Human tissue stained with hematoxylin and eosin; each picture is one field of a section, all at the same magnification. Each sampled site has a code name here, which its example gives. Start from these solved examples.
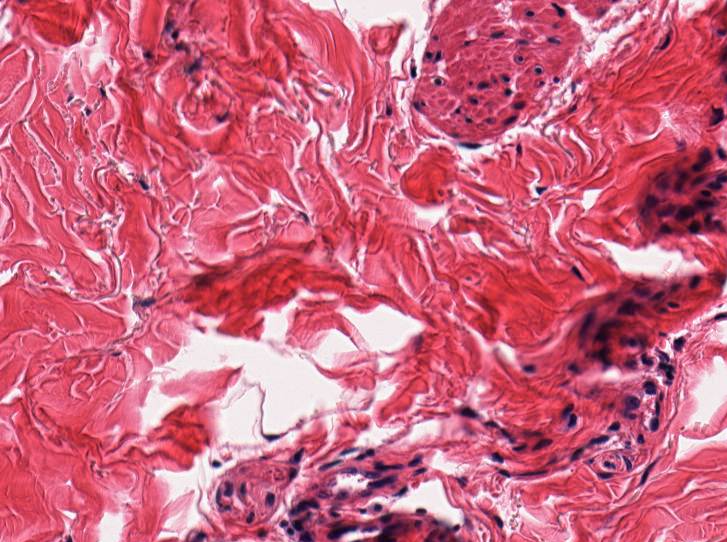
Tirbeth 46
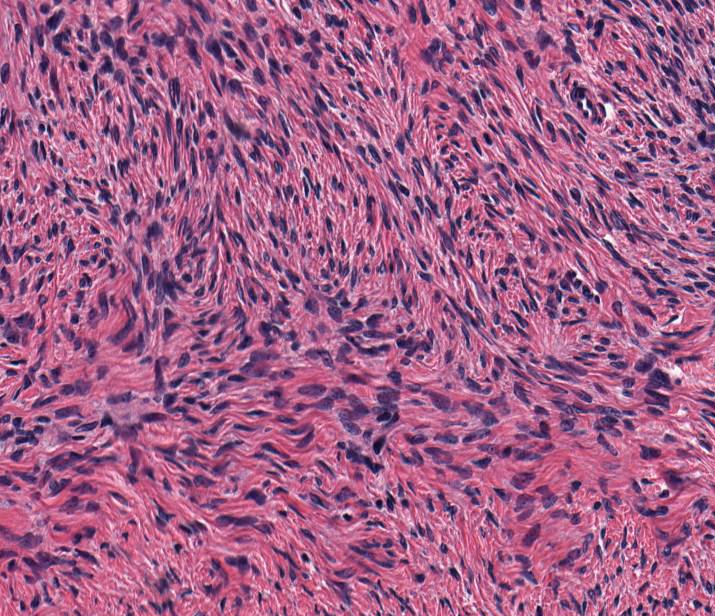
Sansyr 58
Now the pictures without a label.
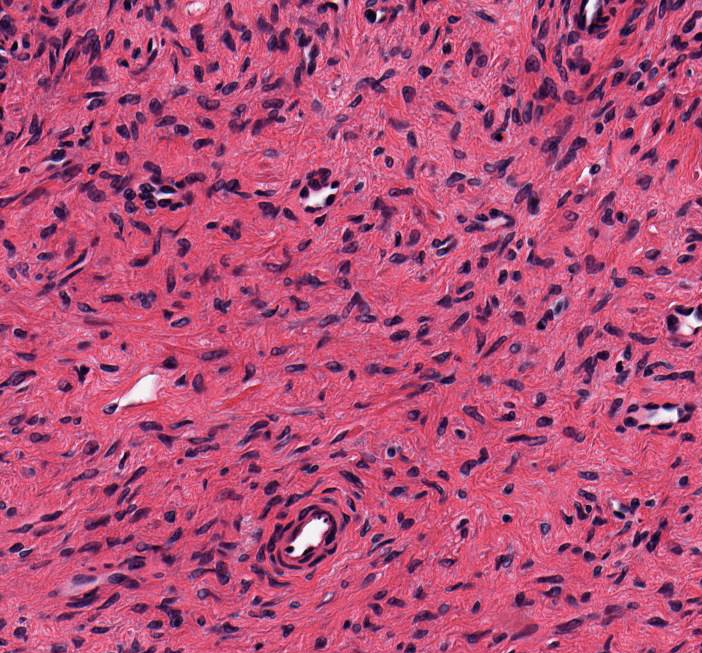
Sansyr 58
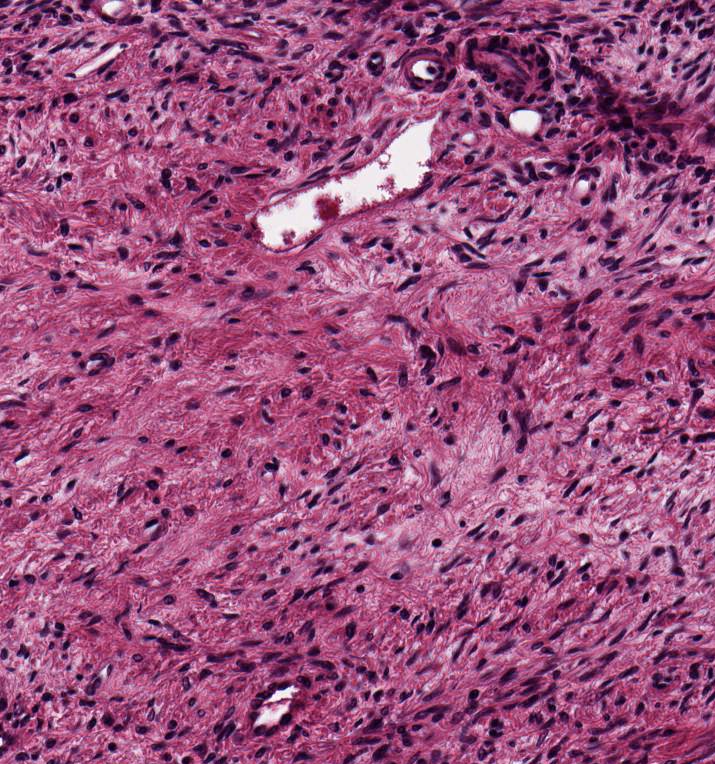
Sansyr 58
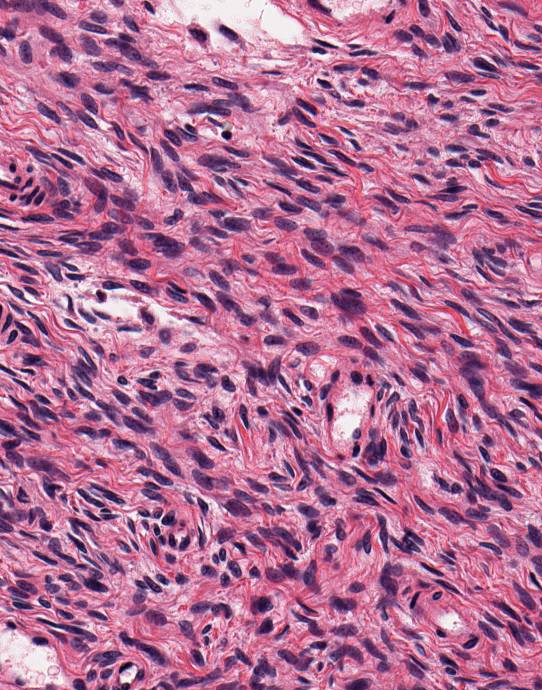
Sansyr 58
